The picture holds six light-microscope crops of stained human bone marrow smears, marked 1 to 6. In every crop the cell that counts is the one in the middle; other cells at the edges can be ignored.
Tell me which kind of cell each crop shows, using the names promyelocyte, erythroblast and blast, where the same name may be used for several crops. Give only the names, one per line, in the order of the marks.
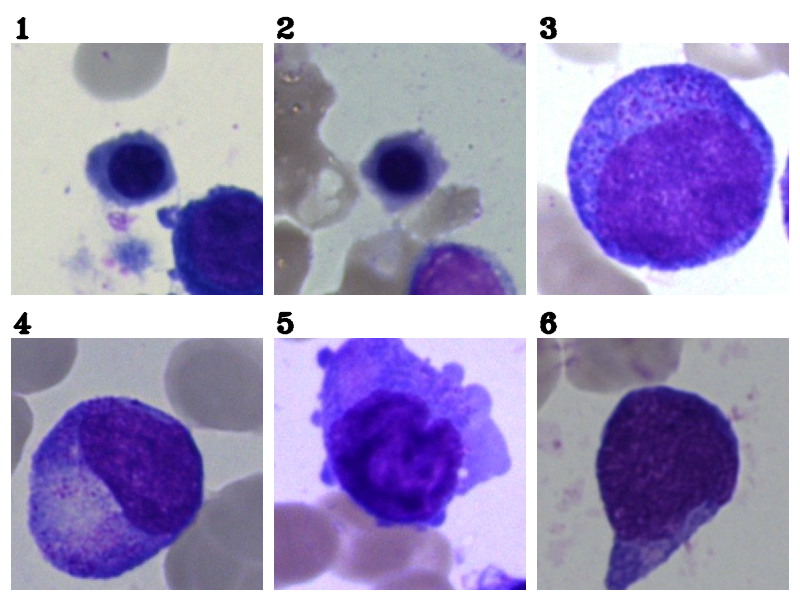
erythroblast
erythroblast
promyelocyte
promyelocyte
blast
blast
